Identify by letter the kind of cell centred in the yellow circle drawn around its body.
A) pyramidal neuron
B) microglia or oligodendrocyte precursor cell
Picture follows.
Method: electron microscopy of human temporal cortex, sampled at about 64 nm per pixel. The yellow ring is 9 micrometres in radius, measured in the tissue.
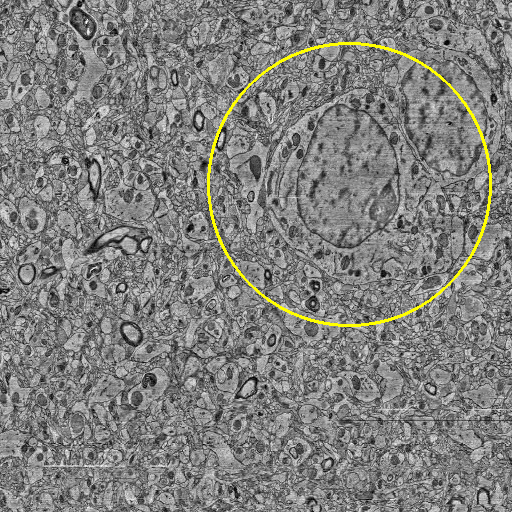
A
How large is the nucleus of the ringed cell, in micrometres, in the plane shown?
In this plane, the nucleus of the cell at the centre of the ring measures about 9 by 7 micrometres.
